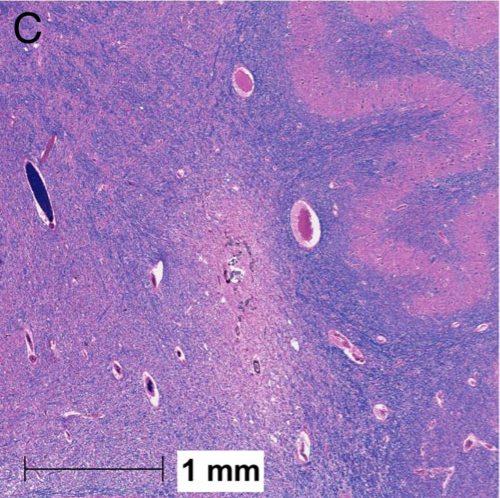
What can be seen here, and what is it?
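Medulla oblongata near the inferior olivary nucleus, with a perivascular white matter lesion. At the upper right, the nucleus forms a folded, ribbon-like band of pink gray matter bordered by blue-staining fibre tracts. Across the rest of the field, blue myelinated tissue is crossed by numerous vessels of varying size, some cut lengthwise and some in cross section. Near the centre, around a small vessel with dark deposits, the tissue is paler and pinker, with loss of the blue staining in a patch that contrasts with the surrounding tissue.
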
